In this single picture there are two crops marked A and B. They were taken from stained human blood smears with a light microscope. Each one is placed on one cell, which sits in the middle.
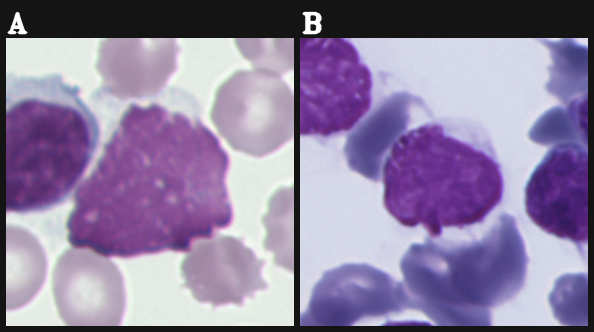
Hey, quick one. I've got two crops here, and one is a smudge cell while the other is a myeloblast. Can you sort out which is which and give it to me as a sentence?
While crop A is a smudge cell, crop B is a myeloblast.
